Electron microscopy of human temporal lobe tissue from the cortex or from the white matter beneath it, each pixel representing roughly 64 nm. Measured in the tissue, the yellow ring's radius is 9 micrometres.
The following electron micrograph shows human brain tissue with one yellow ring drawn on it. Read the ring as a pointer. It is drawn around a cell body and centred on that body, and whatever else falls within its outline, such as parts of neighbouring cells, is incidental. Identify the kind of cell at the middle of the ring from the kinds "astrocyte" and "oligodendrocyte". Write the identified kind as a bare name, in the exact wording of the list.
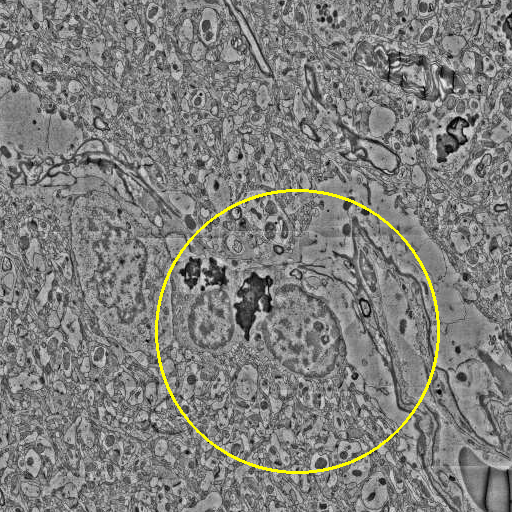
oligodendrocyte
